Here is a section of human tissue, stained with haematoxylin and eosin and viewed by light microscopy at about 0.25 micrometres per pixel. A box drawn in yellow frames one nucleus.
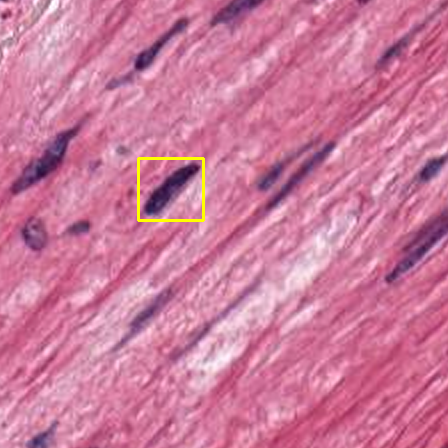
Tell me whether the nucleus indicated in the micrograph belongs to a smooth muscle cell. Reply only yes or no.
yes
